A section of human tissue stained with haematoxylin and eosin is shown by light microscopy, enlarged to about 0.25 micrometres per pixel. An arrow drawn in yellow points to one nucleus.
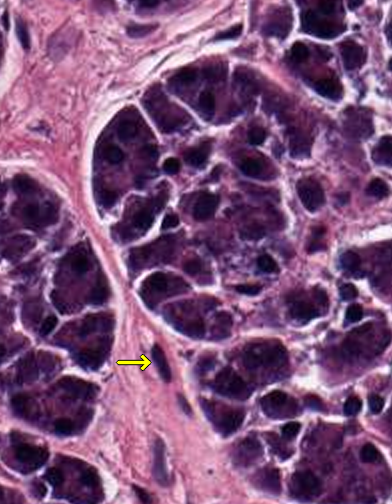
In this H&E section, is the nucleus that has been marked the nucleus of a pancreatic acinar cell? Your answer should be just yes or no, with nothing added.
no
